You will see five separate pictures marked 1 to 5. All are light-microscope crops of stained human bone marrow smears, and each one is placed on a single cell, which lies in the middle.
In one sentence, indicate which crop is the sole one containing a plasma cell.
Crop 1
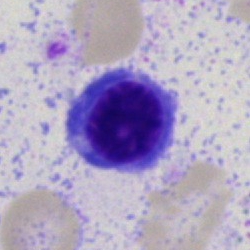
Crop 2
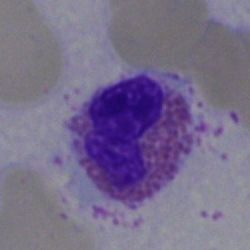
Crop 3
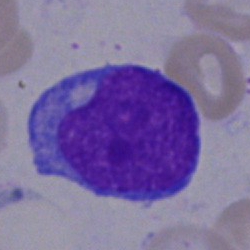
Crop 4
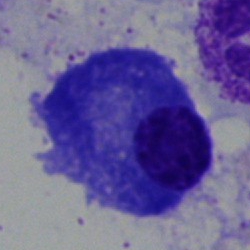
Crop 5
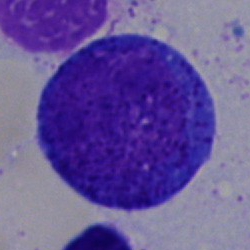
Crop 4 is the crop containing a plasma cell.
